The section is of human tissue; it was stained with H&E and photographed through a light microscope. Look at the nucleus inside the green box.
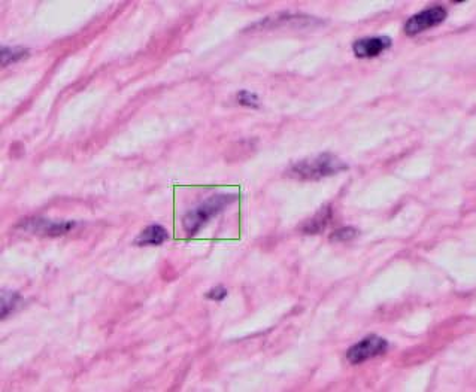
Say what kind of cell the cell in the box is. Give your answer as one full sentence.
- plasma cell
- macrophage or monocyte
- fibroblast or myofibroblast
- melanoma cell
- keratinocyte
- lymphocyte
In this tissue section, the cell in the box is to be classed as a fibroblast or myofibroblast.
